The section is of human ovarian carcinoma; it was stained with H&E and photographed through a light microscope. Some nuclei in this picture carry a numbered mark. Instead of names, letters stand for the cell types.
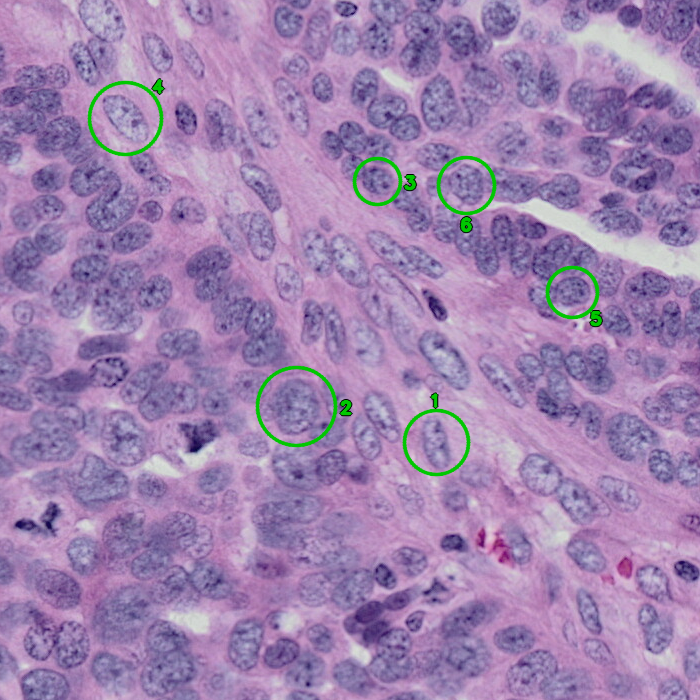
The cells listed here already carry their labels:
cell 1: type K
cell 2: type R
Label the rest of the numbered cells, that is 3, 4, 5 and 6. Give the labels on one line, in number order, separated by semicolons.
type R; type K; type R; type R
